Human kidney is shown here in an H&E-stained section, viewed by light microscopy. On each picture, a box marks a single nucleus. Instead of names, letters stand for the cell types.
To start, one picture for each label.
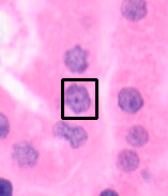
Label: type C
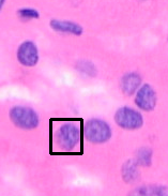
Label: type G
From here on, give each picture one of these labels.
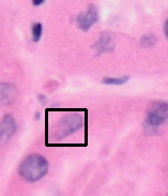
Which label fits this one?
type C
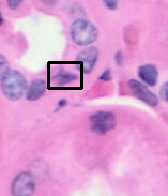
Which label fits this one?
type G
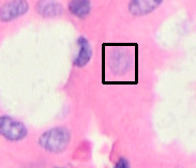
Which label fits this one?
type C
